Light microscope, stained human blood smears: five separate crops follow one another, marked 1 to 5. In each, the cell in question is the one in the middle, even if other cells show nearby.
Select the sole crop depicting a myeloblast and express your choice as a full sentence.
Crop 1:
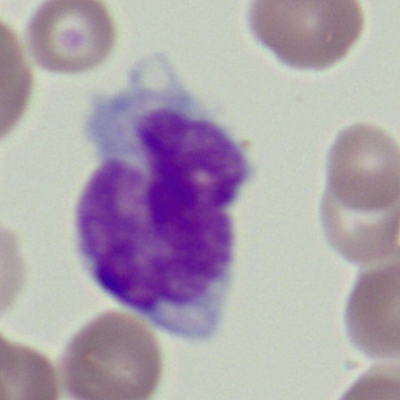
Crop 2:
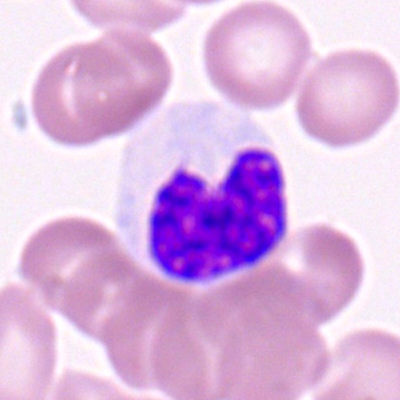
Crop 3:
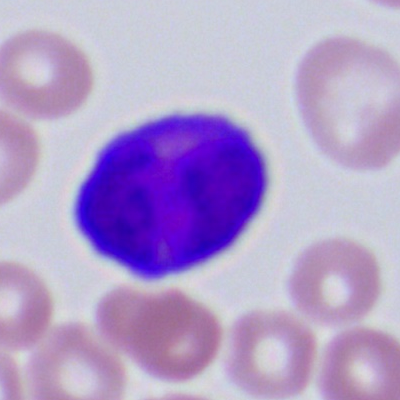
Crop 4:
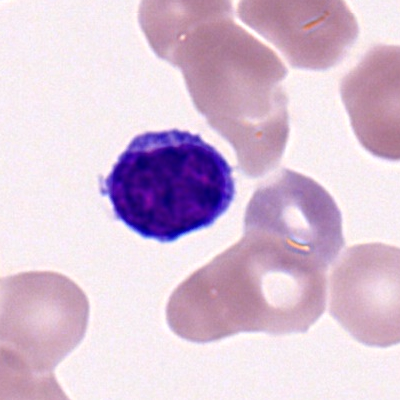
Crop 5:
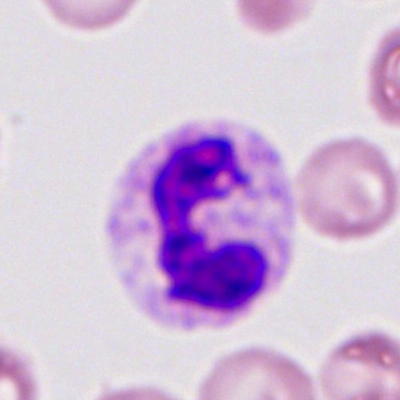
Crop 3 is the crop featuring a myeloblast at its center.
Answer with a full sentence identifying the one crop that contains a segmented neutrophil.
The requested cell, a segmented neutrophil, is the one in crop 5.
